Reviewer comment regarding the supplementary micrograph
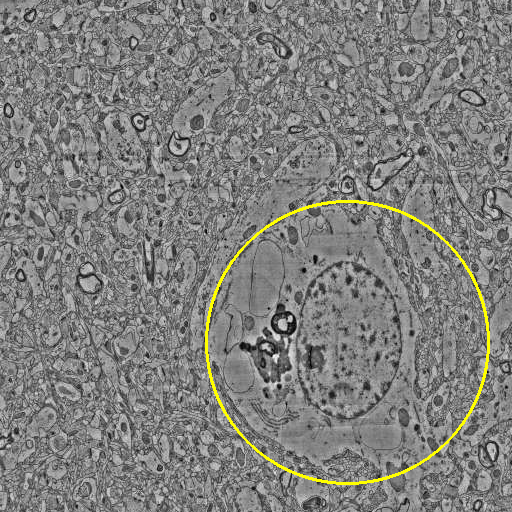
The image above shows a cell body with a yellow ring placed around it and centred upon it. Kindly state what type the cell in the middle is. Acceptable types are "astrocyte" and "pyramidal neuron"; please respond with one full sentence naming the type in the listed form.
In the image above, the cell on which the yellow ring is centred is an astrocyte.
